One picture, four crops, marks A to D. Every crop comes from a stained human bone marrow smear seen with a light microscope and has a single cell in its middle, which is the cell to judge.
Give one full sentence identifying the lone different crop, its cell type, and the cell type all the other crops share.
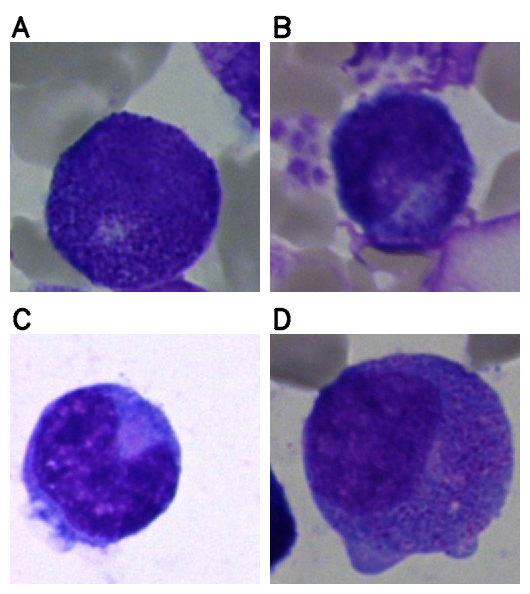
The outlier here is crop C, which is a blast, while the remainder show promyelocytes.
